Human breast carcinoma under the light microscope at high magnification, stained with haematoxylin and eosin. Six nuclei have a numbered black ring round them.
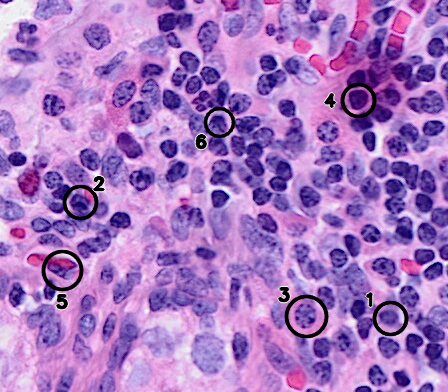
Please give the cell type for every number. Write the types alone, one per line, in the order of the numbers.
lymphocyte
lymphocyte
mast cell
lymphocyte
endothelial cell
lymphocyte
